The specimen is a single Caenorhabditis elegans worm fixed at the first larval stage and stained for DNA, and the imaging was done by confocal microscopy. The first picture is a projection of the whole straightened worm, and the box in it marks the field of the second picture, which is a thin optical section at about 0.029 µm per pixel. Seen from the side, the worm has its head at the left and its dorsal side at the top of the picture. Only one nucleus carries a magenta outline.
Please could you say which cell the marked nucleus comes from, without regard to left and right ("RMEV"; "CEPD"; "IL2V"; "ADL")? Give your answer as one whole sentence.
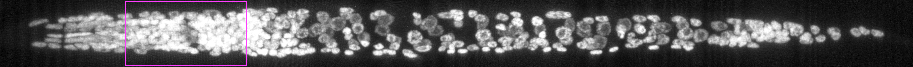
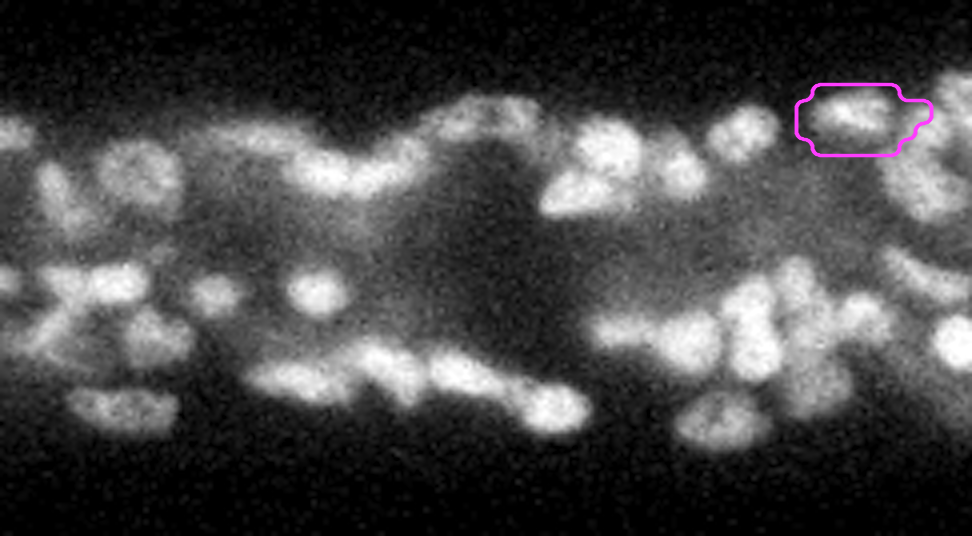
It belongs to ADL, a neuron.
